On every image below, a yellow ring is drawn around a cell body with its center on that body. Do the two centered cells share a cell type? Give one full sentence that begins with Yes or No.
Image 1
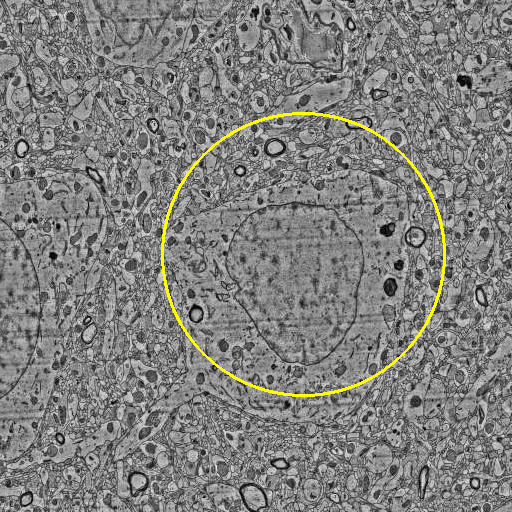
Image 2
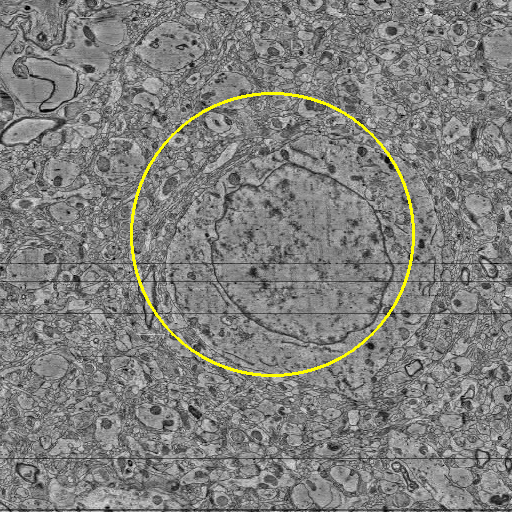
Yes, the centered cells in the two images are of a single cell type.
